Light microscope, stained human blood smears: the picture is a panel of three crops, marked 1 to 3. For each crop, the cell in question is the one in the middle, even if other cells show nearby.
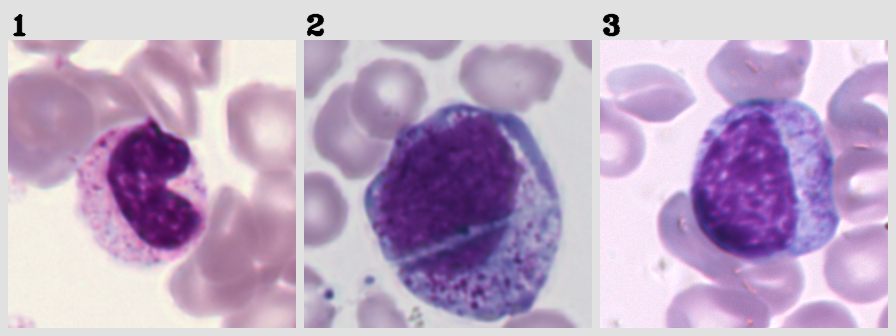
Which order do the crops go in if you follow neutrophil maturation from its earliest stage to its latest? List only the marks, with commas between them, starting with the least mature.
2, 3, 1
